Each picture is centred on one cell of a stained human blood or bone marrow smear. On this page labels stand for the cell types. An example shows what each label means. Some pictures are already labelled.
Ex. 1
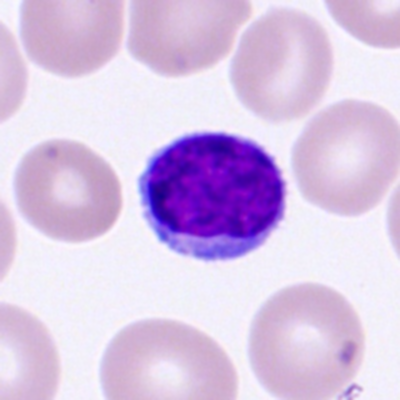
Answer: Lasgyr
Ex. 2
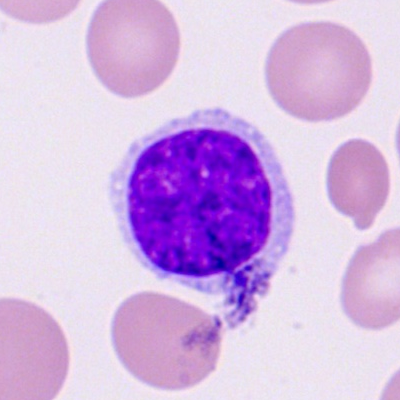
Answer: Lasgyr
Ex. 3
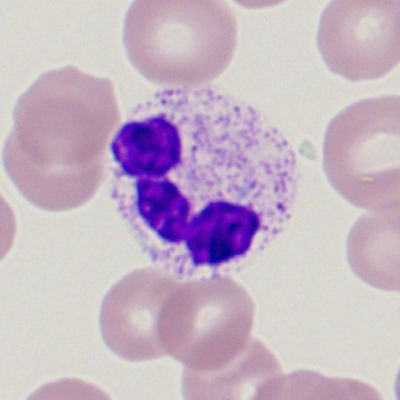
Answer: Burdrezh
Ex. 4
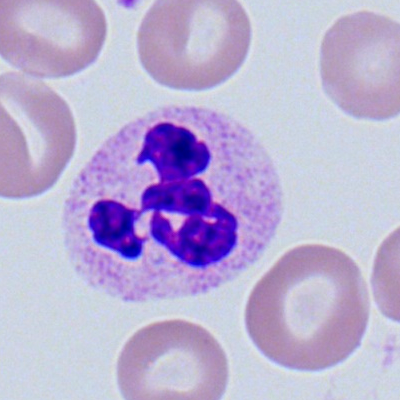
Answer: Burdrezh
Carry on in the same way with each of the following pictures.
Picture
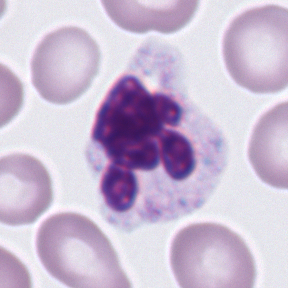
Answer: Burdrezh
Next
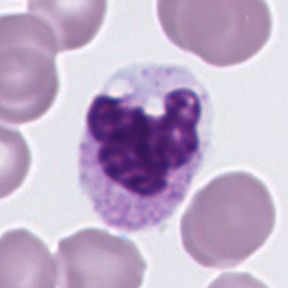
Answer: Burdrezh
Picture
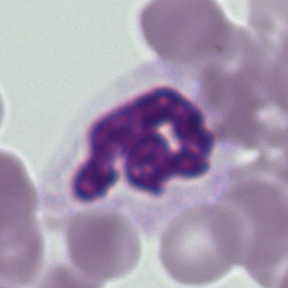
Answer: Burdrezh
